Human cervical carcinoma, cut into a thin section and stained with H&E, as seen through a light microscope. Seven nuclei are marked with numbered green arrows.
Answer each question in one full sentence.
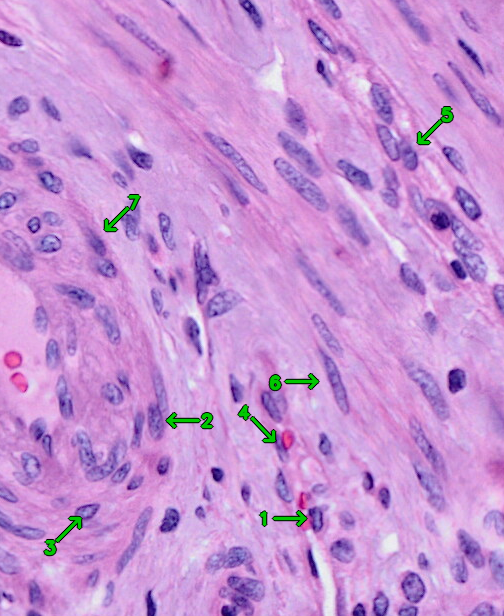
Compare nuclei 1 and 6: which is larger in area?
Of the two, number 6 is bigger and takes up about 2 times the area of number 1.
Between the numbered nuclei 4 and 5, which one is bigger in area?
Of the two, number 5 is bigger and takes up about 2 times the area of number 4.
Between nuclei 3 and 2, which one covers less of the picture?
Nucleus 3 is the smaller one; nucleus 2 covers about 1.5 times its area.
